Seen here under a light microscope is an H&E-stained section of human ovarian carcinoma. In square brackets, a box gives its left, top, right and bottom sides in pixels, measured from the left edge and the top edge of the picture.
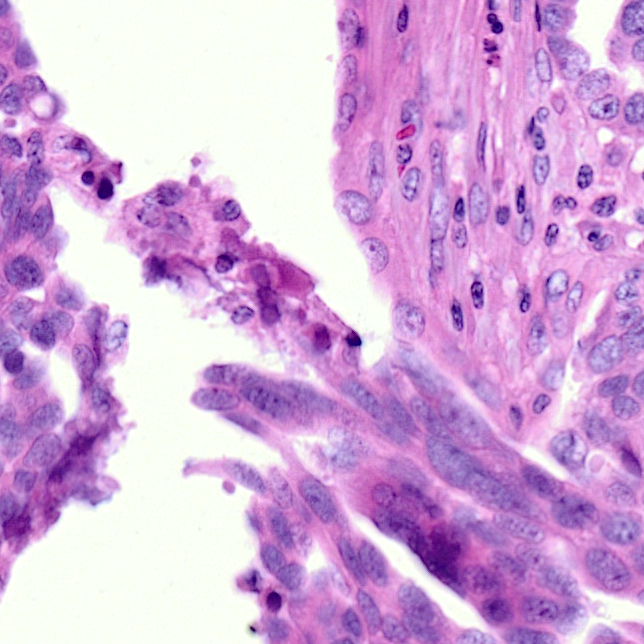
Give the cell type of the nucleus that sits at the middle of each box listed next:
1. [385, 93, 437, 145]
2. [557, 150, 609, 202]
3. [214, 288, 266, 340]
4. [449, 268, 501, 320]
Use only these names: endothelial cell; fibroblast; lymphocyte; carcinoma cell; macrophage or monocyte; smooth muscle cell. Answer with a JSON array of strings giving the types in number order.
["endothelial cell", "lymphocyte", "macrophage or monocyte", "lymphocyte"]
